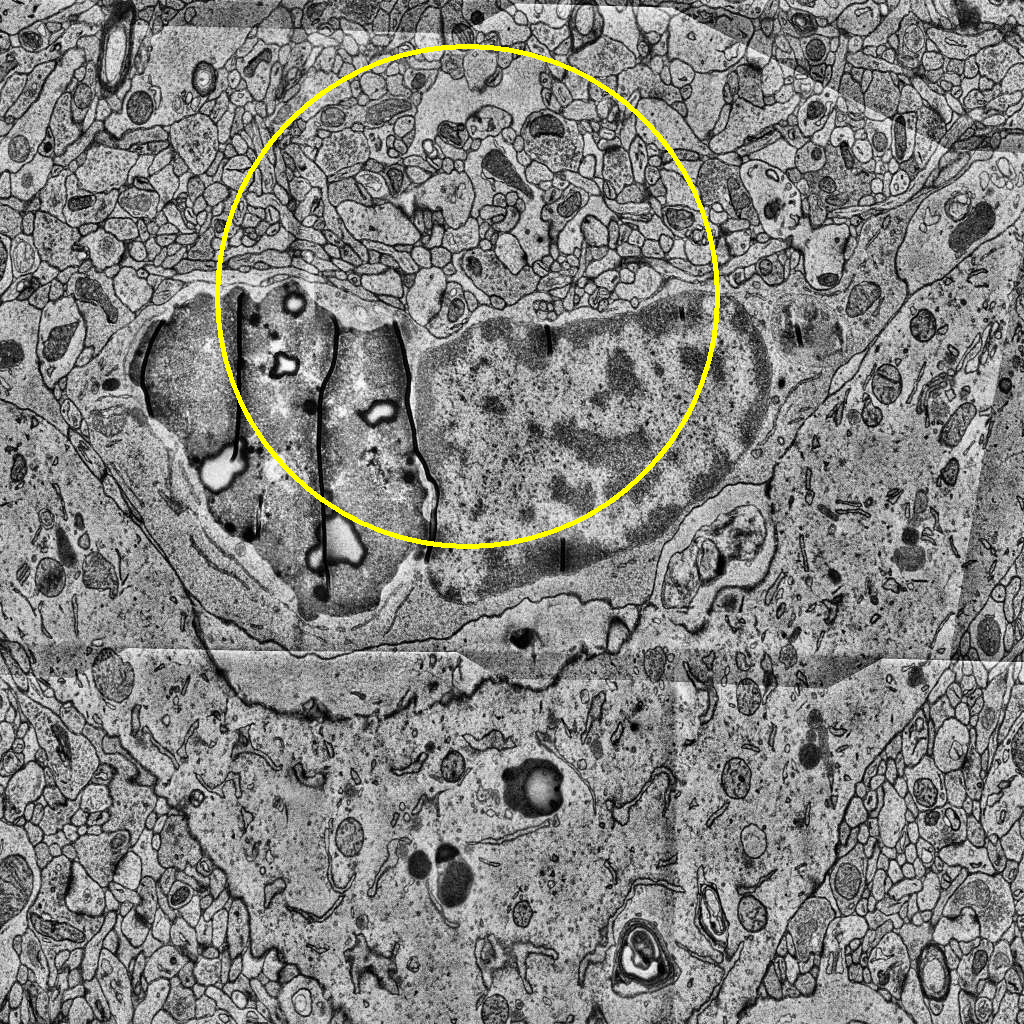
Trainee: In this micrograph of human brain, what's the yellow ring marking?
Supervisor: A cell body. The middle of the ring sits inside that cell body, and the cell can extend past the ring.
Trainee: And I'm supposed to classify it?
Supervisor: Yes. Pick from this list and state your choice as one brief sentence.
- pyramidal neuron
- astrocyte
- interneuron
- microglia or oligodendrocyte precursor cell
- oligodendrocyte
The cell at the ring's center is a microglial cell or oligodendrocyte precursor cell.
